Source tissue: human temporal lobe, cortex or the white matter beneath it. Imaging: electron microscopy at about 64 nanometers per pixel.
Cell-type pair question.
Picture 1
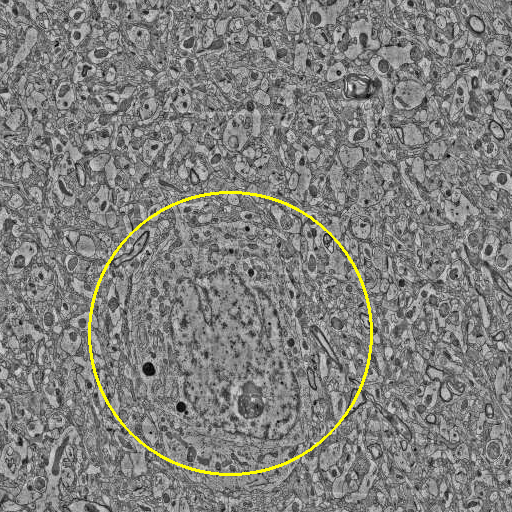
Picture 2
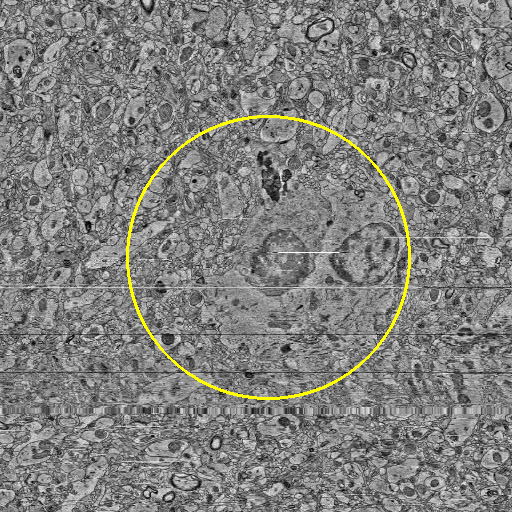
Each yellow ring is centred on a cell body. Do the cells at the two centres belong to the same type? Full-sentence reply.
No, the two cells belong to two types.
